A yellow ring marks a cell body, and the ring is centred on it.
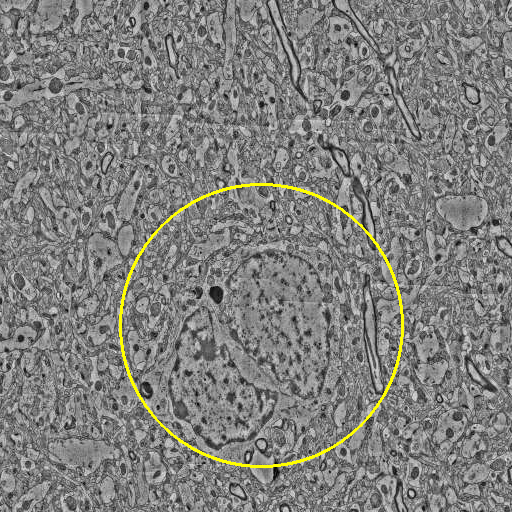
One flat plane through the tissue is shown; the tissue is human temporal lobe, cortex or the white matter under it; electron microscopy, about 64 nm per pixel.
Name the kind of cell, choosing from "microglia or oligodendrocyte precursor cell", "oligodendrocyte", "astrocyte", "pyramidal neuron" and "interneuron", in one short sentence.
The marked cell body belongs to an interneuron.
